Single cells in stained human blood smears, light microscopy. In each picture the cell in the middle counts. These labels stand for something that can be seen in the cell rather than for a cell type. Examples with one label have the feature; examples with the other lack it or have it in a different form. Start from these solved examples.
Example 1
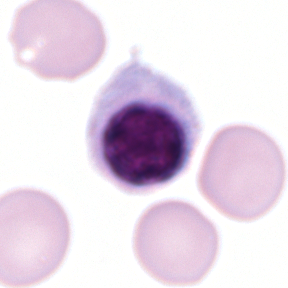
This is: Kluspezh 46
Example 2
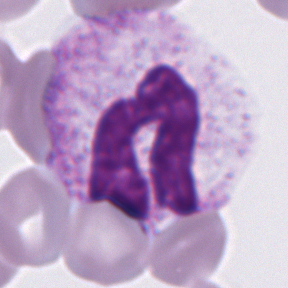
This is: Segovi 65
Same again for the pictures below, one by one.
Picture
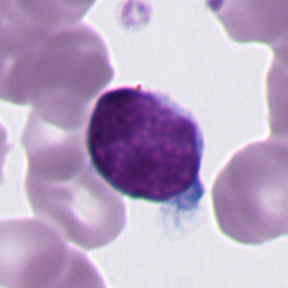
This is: Kluspezh 46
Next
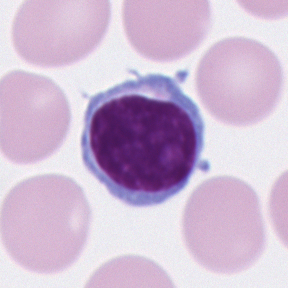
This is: Kluspezh 46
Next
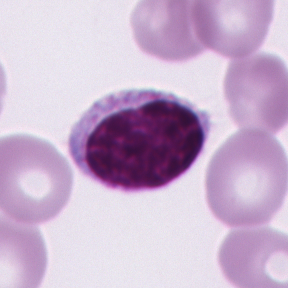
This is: Kluspezh 46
